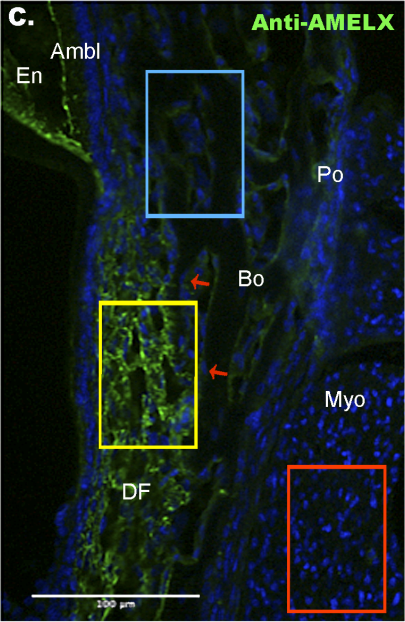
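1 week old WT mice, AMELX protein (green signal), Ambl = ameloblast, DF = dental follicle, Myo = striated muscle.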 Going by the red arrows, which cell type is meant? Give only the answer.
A: Osteoblastic cells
